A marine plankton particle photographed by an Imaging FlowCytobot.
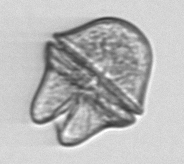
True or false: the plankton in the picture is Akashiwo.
True.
